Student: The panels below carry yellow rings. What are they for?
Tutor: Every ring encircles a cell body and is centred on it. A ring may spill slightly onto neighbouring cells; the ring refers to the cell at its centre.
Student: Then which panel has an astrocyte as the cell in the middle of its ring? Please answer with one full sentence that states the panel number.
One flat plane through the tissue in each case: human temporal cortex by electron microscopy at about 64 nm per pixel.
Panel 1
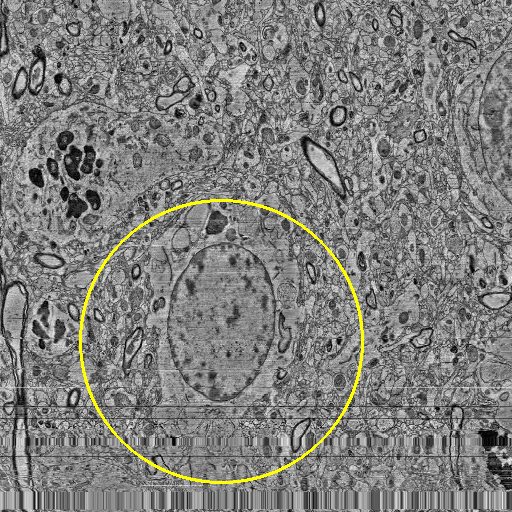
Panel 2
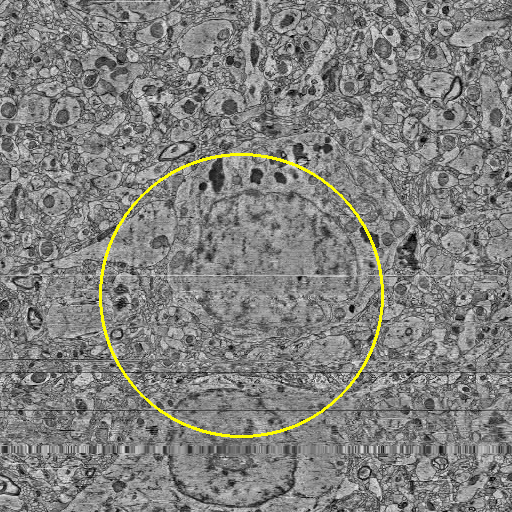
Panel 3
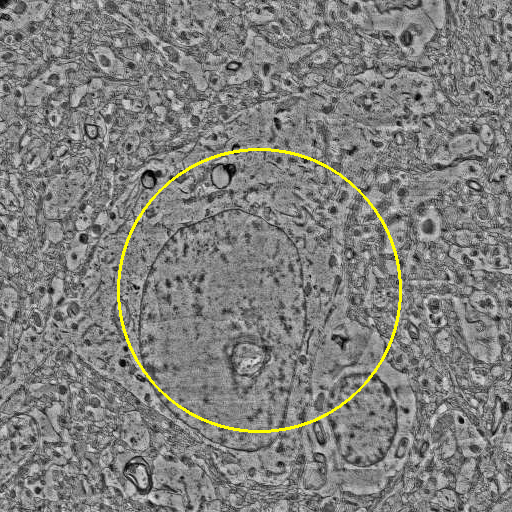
In Panel 1, the cell centred in the ring is the one sought.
